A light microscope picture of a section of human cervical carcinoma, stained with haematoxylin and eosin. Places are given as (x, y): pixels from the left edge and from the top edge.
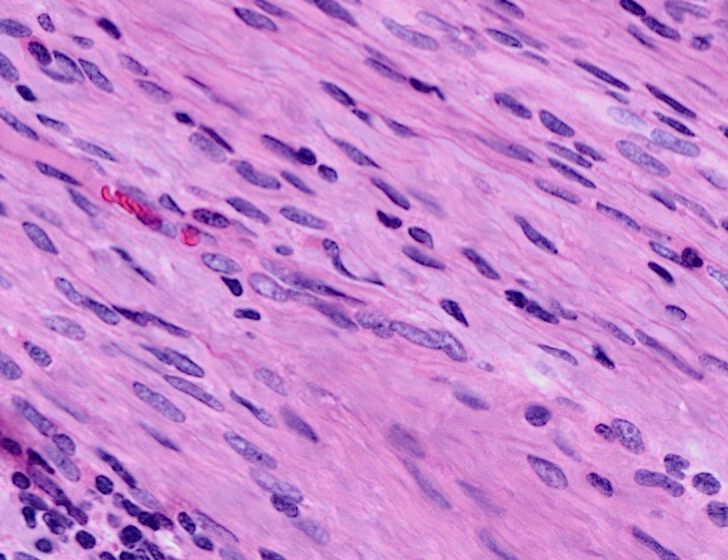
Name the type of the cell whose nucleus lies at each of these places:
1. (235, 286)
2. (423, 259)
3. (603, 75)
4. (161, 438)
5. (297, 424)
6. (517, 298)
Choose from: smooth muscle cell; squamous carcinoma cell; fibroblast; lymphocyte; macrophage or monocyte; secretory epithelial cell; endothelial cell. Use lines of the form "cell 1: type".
cell 1: lymphocyte
cell 2: fibroblast
cell 3: fibroblast
cell 4: fibroblast
cell 5: fibroblast
cell 6: lymphocyte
